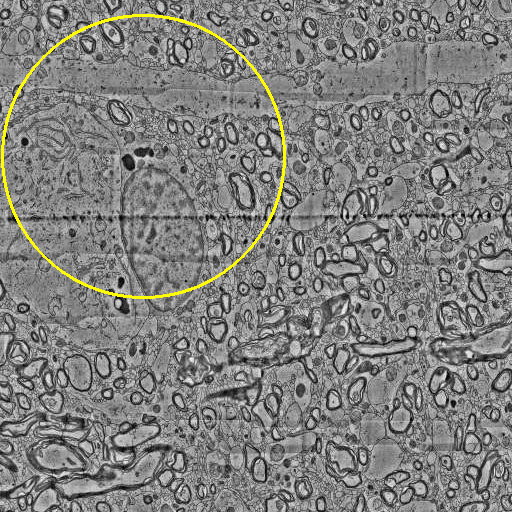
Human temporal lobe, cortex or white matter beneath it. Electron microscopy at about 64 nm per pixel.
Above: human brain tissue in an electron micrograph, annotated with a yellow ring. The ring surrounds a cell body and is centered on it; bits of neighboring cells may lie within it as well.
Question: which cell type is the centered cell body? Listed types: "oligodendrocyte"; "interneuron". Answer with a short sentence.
The centered cell body is an oligodendrocyte.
